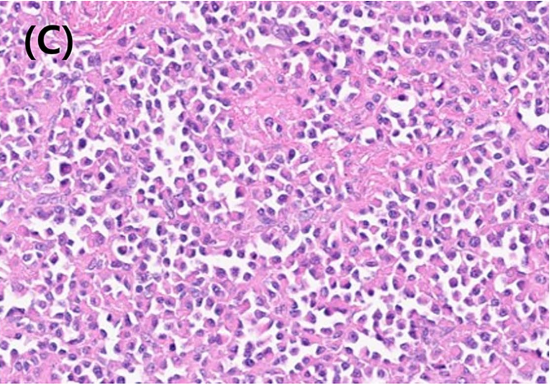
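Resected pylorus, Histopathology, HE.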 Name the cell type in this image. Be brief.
Plasma cells.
